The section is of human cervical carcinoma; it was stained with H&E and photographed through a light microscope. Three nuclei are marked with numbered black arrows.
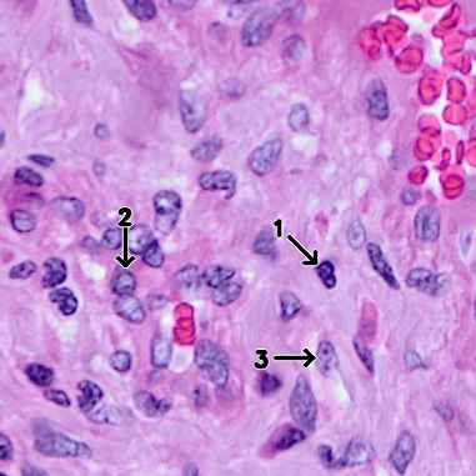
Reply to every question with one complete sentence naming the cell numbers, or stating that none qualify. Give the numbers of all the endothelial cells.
None but cell 2 among the numbered cells is an endothelial cell.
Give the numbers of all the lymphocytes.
The cell bearing the number 1 is a lymphocyte, unlike the rest of the numbered cells.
